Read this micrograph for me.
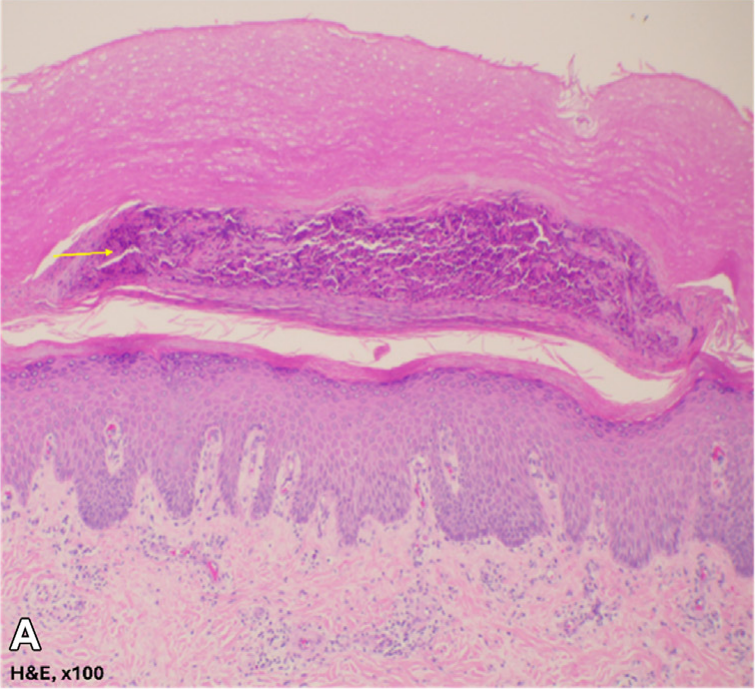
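This low-power view of skin shows a thick, compact pink cornified layer over an epidermis with regularly elongated rete ridges. Within the cornified layer lies a broad band of dark purple material crowded with small fragmented nuclei. Beneath the epidermis, the pale pink dermis has scattered clusters of small dark inflammatory cells around vessels.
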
